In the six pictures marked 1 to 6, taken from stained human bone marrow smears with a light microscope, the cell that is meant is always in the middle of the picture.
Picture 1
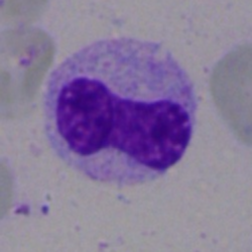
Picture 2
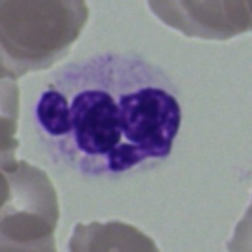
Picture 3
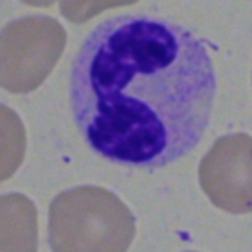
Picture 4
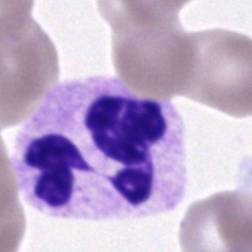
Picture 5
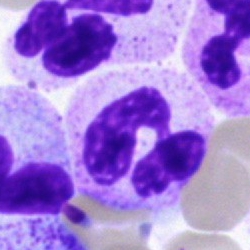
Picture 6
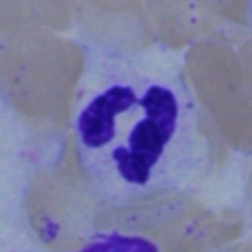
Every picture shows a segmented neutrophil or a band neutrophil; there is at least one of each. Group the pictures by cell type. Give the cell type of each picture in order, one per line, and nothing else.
band neutrophil
segmented neutrophil
band neutrophil
segmented neutrophil
segmented neutrophil
segmented neutrophil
